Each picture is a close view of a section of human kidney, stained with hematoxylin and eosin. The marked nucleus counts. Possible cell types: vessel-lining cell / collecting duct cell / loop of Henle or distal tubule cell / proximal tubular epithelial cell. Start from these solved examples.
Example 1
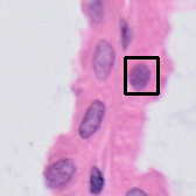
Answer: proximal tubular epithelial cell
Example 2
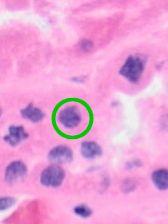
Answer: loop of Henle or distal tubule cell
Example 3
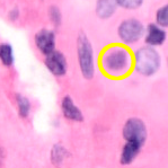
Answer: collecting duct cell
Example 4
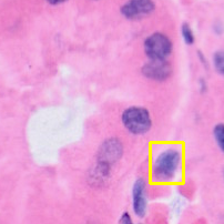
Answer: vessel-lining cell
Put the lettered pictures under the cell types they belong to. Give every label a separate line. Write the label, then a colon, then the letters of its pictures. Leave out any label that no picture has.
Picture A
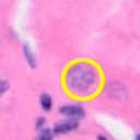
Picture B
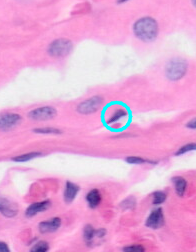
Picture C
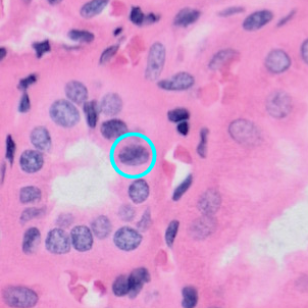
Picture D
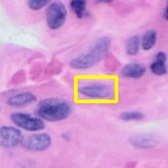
vessel-lining cell: B, D
collecting duct cell: C
proximal tubular epithelial cell: A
